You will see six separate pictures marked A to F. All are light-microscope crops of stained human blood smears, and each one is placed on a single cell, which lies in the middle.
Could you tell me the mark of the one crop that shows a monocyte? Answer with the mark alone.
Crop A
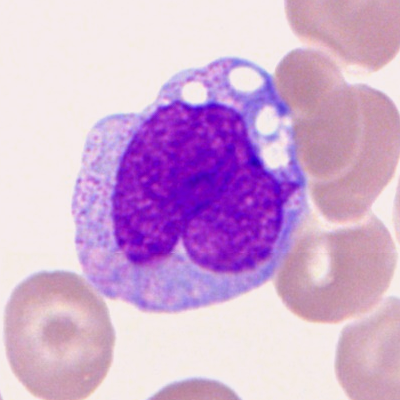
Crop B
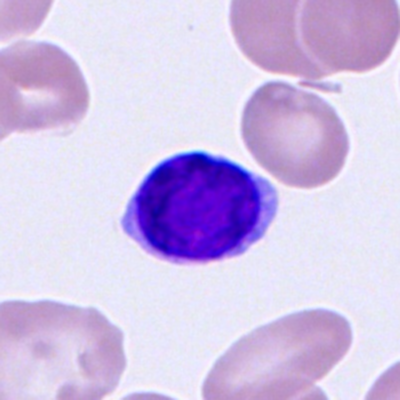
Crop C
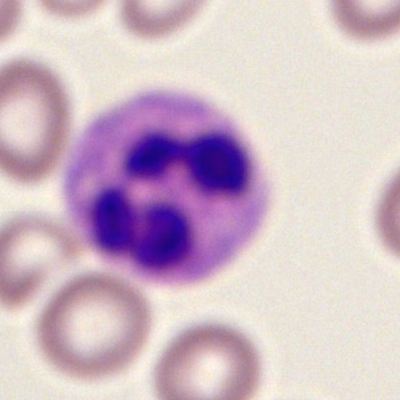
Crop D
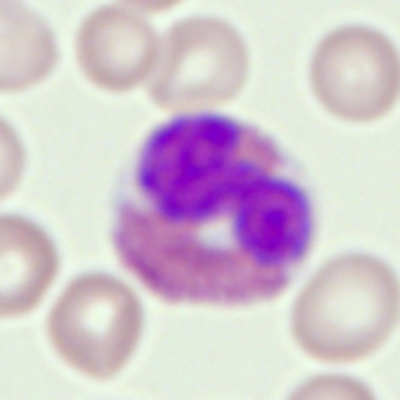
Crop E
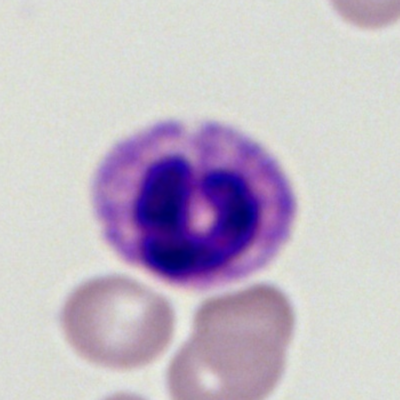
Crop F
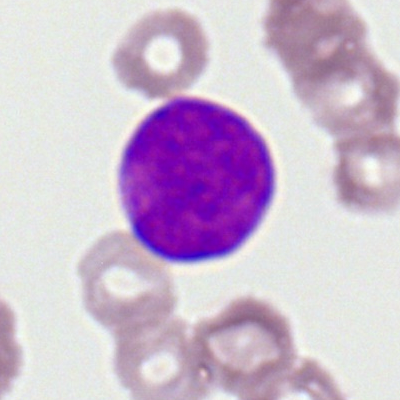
A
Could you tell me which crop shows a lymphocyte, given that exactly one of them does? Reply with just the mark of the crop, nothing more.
B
